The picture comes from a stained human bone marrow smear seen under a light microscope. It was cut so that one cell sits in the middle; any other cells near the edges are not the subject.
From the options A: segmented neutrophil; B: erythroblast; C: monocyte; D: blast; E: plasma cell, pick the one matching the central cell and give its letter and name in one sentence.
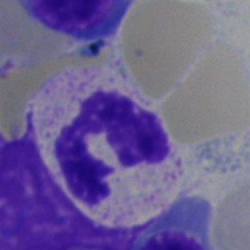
The centrally positioned cell is a segmented neutrophil, consistent with option A, which is correct.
